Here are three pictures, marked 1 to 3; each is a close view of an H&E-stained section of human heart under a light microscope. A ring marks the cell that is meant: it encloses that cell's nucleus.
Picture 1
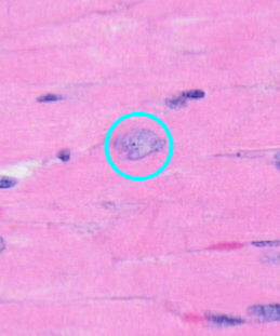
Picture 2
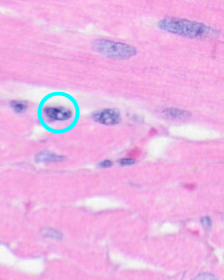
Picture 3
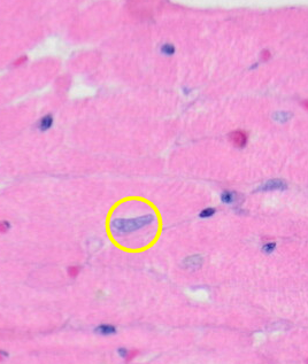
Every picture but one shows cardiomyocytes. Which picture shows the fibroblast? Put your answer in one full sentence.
Picture 2 shows the fibroblast.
